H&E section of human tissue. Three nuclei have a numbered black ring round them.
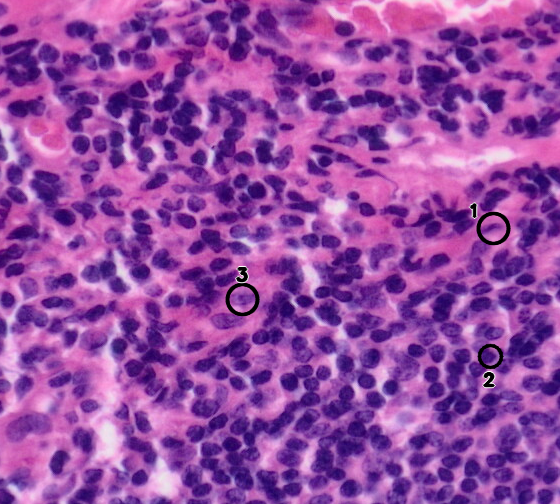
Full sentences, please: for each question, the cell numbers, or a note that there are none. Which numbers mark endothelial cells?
The cells numbered 1 and 3 fall into the category of endothelial cells.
